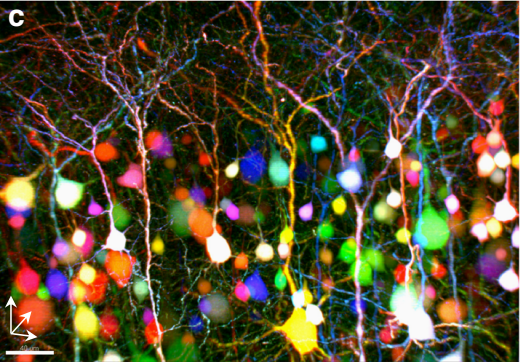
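This is cerebral cortex in which neighbouring pyramidal neurons are each filled with a different fluorescent colour: red, green, blue, yellow, orange, white, pink and many mixed tones. The cell bodies are round to triangular and crowd together in a band, most of them pointing upward. From the top of many of them a single thick dendrite climbs straight up, and these apical dendrites run roughly parallel, giving the tissue a vertical grain. Because each cell keeps its own colour, a dendrite can be followed back to its own cell body even where many processes run close together. A fine mesh of thinner coloured branches fills the space between.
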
